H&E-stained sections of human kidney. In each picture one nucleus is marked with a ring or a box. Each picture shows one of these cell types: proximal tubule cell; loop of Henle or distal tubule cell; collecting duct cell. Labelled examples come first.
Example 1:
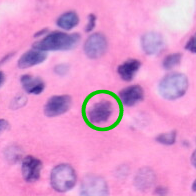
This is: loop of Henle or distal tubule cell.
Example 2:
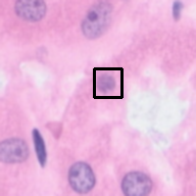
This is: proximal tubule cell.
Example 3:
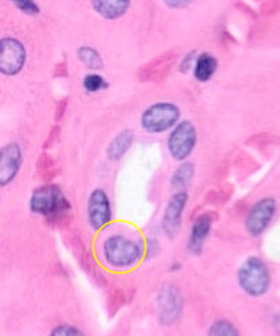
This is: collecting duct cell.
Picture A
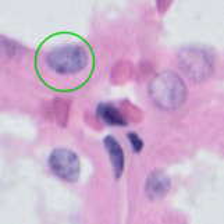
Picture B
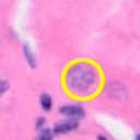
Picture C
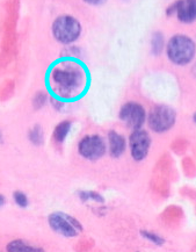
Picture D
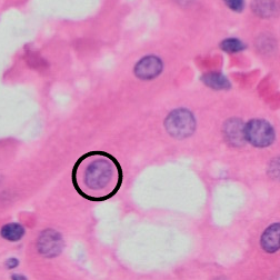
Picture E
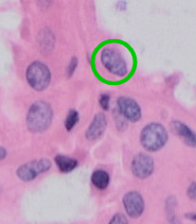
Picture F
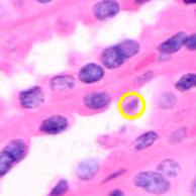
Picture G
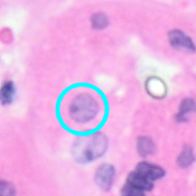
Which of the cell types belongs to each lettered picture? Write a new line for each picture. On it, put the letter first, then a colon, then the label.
A: loop of Henle or distal tubule cell.
B: proximal tubule cell.
C: collecting duct cell.
D: proximal tubule cell.
E: loop of Henle or distal tubule cell.
F: loop of Henle or distal tubule cell.
G: proximal tubule cell.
